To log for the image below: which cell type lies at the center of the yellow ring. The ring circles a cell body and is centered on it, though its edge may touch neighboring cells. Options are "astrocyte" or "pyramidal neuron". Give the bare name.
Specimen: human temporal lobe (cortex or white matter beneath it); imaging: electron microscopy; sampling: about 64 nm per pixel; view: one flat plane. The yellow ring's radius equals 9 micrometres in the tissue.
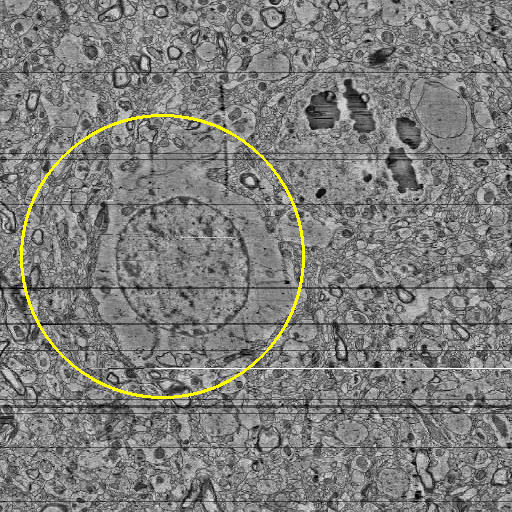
astrocyte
